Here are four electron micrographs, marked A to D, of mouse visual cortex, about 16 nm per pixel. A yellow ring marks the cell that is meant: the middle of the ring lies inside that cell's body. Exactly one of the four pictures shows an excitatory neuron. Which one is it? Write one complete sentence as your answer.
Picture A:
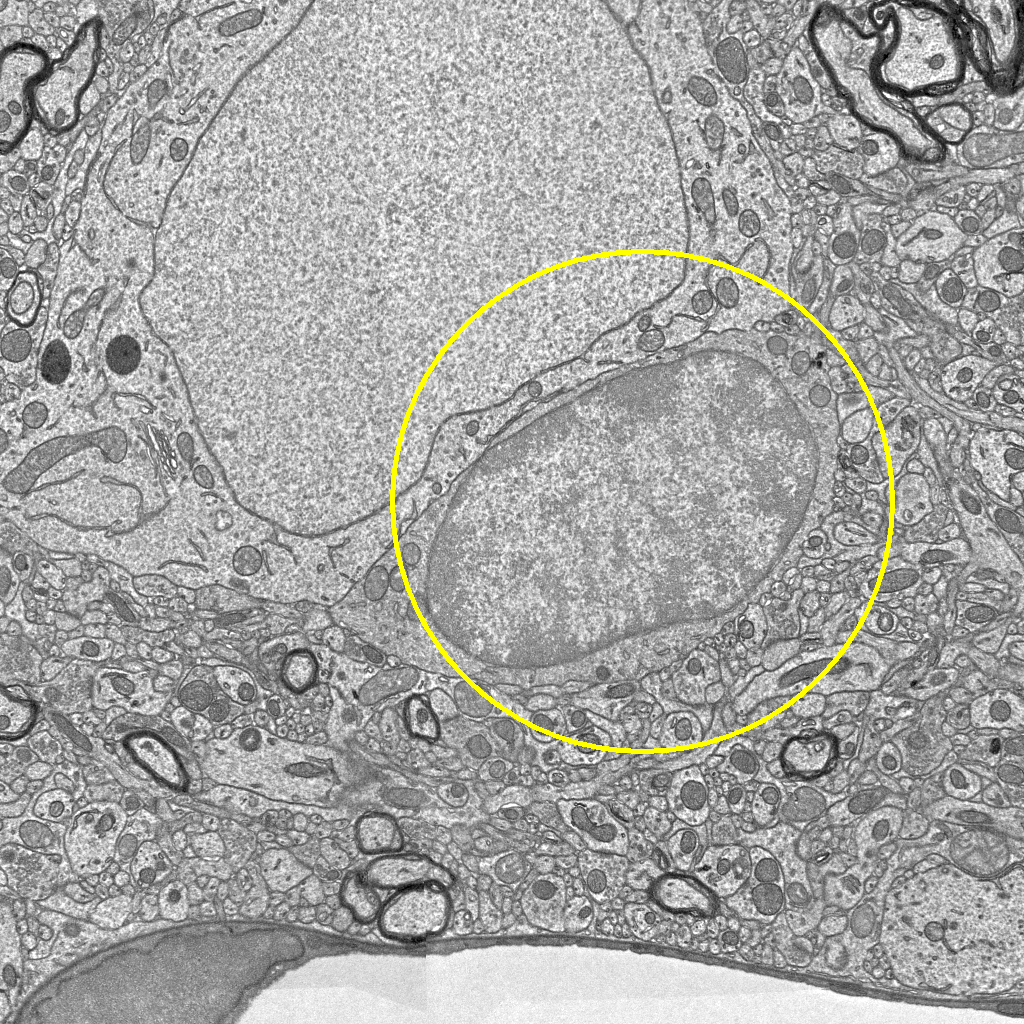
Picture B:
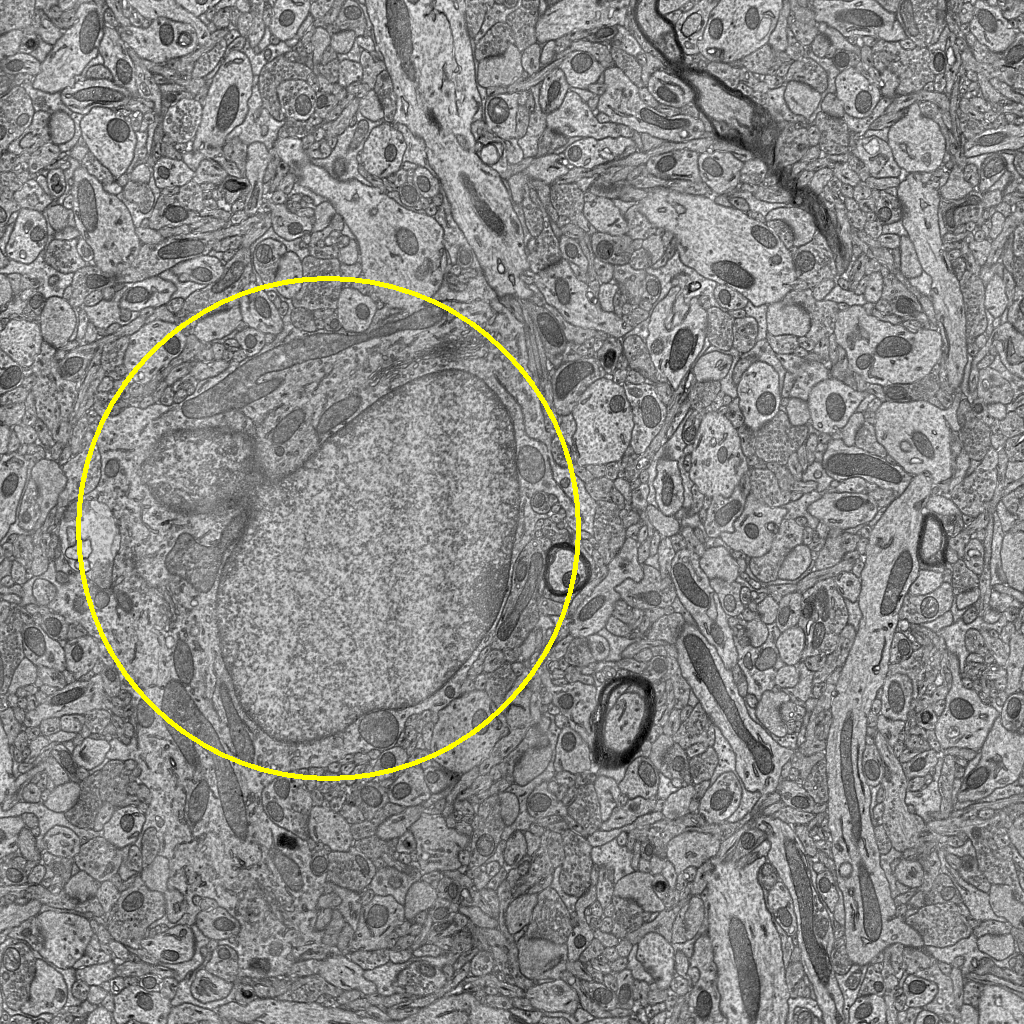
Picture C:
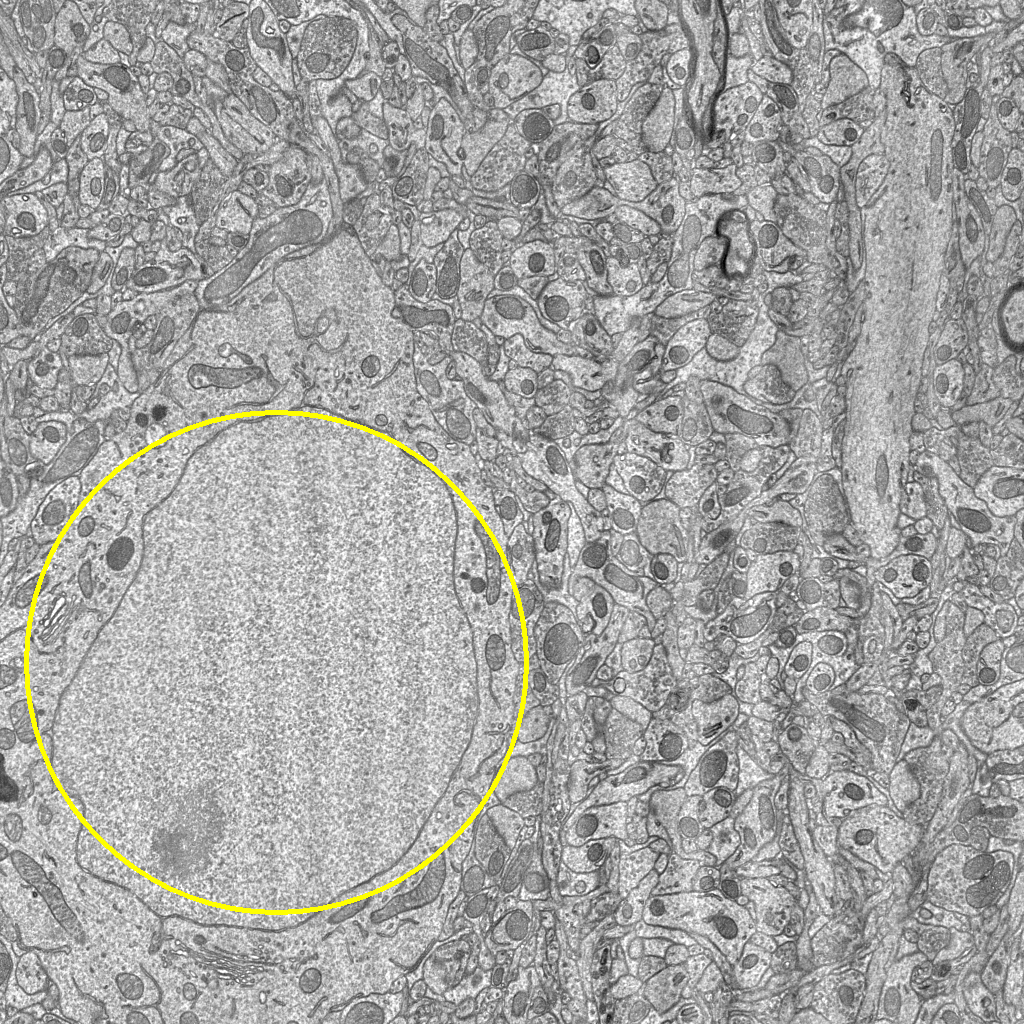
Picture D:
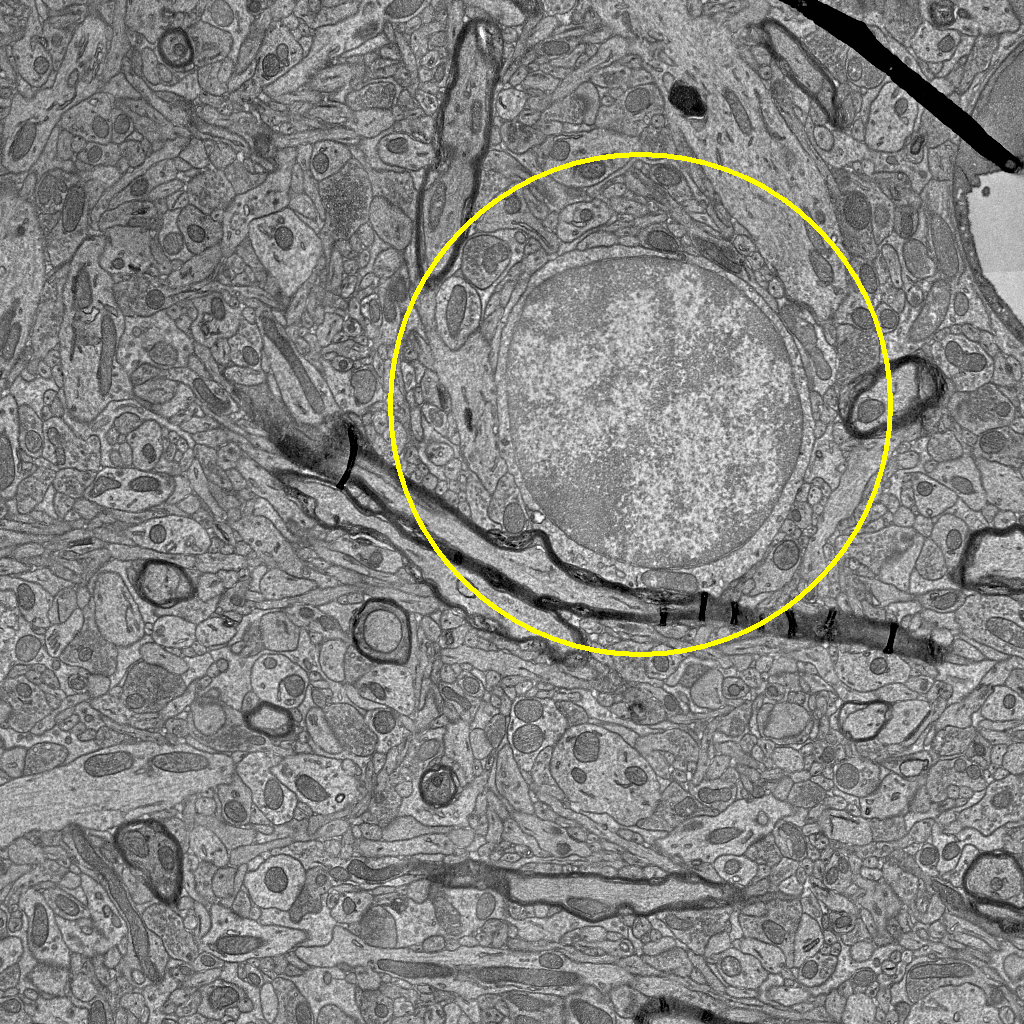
It is picture C that shows the excitatory neuron.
